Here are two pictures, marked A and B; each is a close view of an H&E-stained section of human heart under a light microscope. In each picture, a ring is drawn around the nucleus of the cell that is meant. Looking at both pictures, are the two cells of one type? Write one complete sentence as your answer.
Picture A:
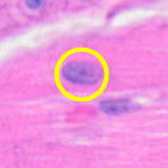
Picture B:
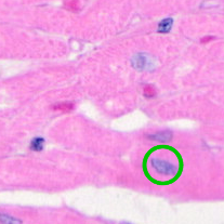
Yes, the two pictures both show cardiomyocytes.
